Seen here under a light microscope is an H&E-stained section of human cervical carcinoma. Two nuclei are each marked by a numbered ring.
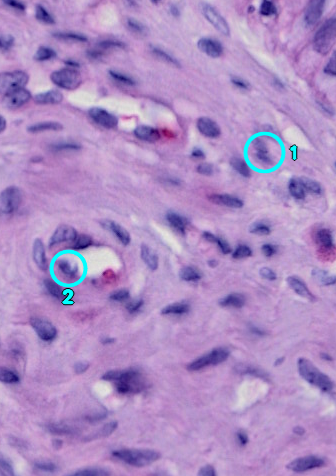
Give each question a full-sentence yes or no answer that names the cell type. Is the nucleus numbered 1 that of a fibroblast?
Yes, the cell with the number 1 is a fibroblast.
